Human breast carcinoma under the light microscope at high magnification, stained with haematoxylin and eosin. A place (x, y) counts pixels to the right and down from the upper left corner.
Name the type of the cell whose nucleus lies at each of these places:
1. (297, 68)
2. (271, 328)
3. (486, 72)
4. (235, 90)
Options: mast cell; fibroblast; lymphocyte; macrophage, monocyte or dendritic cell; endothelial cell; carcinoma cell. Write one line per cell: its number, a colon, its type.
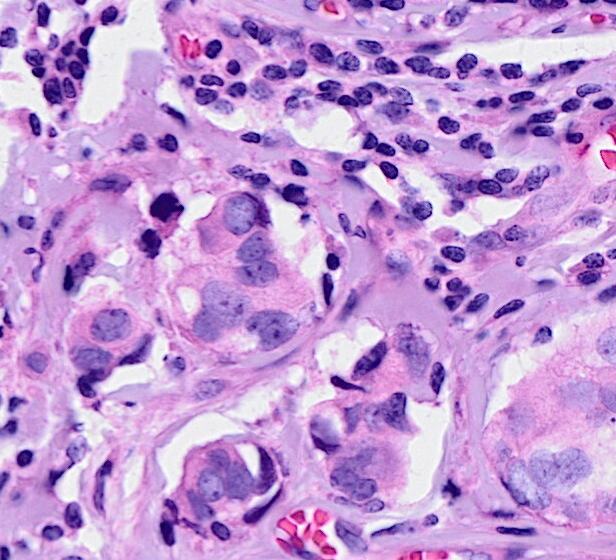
1: lymphocyte
2: carcinoma cell
3: lymphocyte
4: lymphocyte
